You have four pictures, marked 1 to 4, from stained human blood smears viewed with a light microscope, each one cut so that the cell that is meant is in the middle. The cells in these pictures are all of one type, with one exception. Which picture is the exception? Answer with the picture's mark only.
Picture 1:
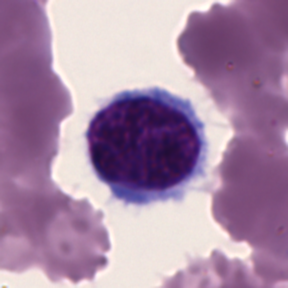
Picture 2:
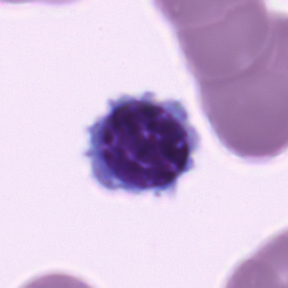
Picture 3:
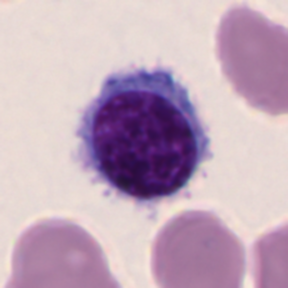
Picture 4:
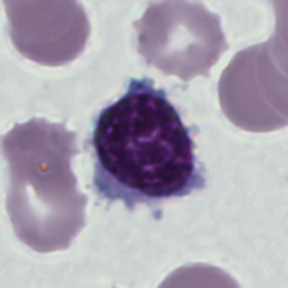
1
